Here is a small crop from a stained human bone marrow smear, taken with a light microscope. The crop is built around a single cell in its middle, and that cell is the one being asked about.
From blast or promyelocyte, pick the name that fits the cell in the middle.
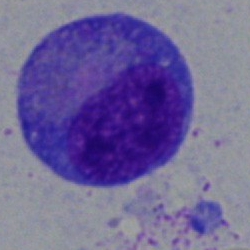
promyelocyte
